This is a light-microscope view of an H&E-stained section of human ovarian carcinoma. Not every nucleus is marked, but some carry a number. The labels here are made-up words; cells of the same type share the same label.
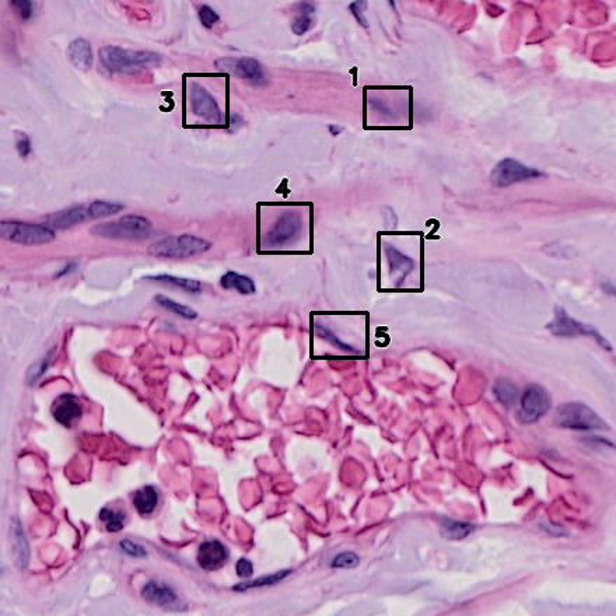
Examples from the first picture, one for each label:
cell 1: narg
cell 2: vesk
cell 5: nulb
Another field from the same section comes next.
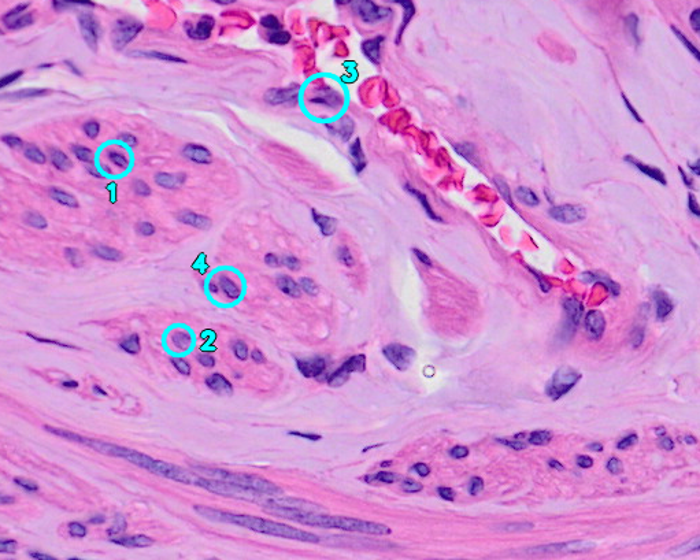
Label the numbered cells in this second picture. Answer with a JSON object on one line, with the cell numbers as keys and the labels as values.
{"1": "narg", "2": "narg", "3": "nulb", "4": "narg"}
